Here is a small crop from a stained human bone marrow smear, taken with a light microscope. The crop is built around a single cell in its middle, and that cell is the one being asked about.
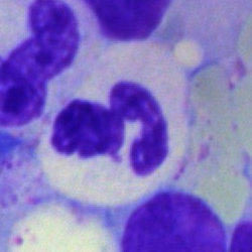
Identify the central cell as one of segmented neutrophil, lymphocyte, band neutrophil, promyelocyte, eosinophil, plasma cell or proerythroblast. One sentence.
The cell at the middle of the crop is recognized as a segmented neutrophil.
